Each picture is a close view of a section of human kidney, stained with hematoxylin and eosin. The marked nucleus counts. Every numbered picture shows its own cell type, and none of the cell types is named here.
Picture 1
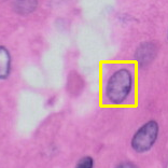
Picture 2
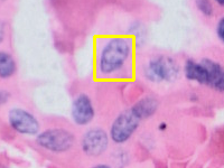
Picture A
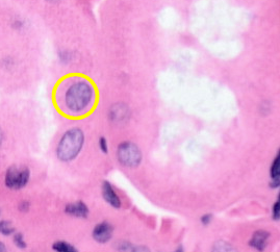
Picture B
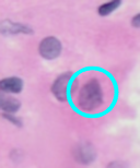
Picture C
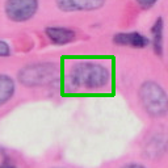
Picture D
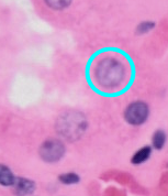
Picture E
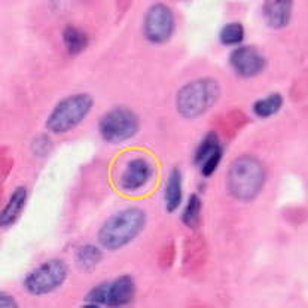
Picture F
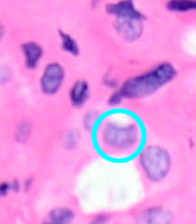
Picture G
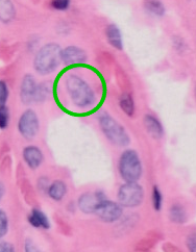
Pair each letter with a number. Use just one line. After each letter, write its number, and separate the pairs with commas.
A 1, B 1, C 2, D 1, E 2, F 2, G 2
